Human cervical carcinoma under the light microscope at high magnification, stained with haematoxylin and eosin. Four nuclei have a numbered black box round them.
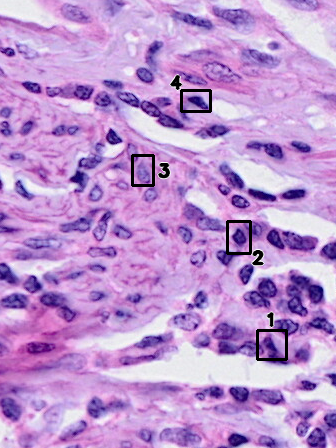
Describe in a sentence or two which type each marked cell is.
Cell 1 is a lymphocyte, cell 2 is a lymphocyte, cell 3 is a smooth muscle cell and cell 4 is a lymphocyte.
